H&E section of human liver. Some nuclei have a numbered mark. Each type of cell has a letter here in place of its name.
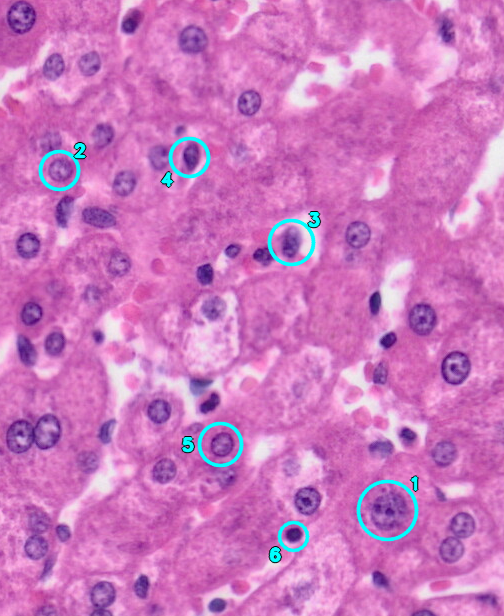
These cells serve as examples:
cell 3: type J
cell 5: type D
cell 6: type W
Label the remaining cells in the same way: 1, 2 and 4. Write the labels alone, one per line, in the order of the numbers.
type D
type D
type J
